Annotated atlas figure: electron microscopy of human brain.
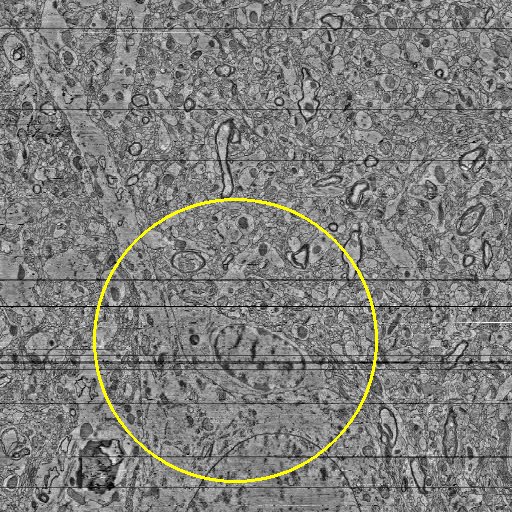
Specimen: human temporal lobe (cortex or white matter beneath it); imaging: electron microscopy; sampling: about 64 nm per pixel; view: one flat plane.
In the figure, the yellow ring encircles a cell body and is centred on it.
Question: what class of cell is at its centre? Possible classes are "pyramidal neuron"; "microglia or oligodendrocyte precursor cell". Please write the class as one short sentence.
The yellow ring is drawn around a microglial cell or oligodendrocyte precursor cell.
